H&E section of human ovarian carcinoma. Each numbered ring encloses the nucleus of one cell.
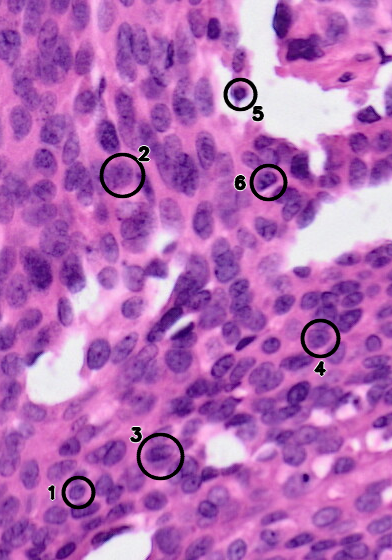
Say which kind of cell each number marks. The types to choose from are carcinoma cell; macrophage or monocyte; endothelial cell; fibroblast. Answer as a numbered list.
1. macrophage or monocyte
2. carcinoma cell
3. carcinoma cell
4. carcinoma cell
5. carcinoma cell
6. macrophage or monocyte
